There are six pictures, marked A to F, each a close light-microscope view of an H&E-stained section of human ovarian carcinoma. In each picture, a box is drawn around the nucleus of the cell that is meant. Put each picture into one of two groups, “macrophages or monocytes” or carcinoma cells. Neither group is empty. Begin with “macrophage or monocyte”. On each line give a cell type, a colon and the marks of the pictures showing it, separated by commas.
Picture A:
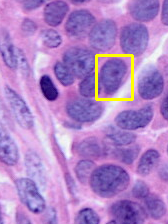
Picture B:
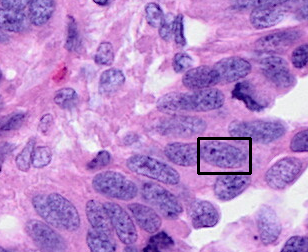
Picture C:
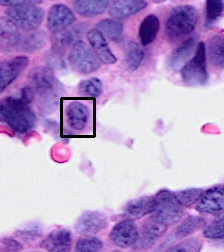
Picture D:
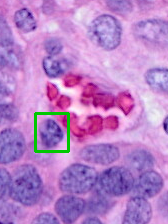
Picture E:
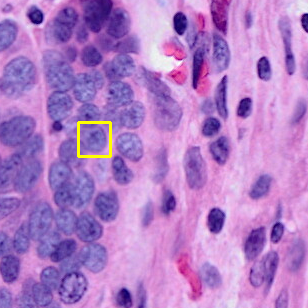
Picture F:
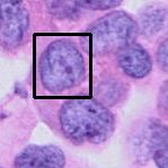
macrophage or monocyte: C, D
carcinoma cell: A, B, E, F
